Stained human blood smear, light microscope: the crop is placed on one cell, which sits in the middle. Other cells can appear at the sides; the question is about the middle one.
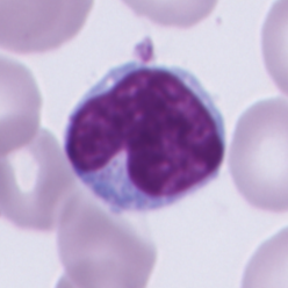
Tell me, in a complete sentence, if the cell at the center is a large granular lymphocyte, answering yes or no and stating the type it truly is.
No, what occupies the middle of the crop is a typical lymphocyte and not a large granular lymphocyte.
